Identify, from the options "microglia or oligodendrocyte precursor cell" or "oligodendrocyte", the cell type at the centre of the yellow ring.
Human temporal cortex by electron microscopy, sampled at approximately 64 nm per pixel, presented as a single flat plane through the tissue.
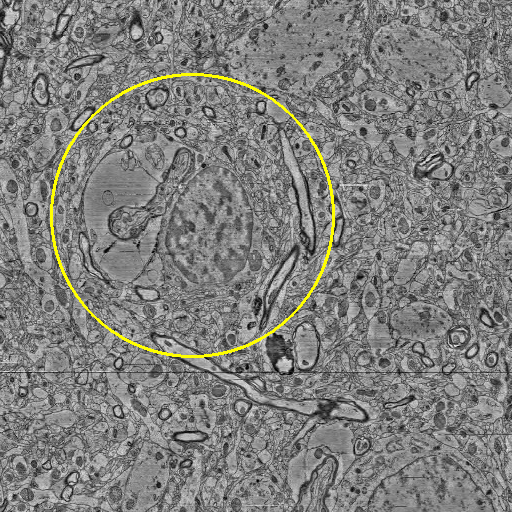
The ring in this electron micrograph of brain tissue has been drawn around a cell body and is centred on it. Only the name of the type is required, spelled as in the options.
oligodendrocyte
